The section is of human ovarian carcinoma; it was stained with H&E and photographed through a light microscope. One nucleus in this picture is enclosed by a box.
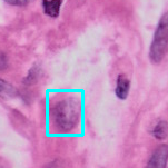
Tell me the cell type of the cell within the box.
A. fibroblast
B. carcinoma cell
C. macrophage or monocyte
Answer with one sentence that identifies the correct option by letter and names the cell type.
Here the cell within the box is a fibroblast; pick option A.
